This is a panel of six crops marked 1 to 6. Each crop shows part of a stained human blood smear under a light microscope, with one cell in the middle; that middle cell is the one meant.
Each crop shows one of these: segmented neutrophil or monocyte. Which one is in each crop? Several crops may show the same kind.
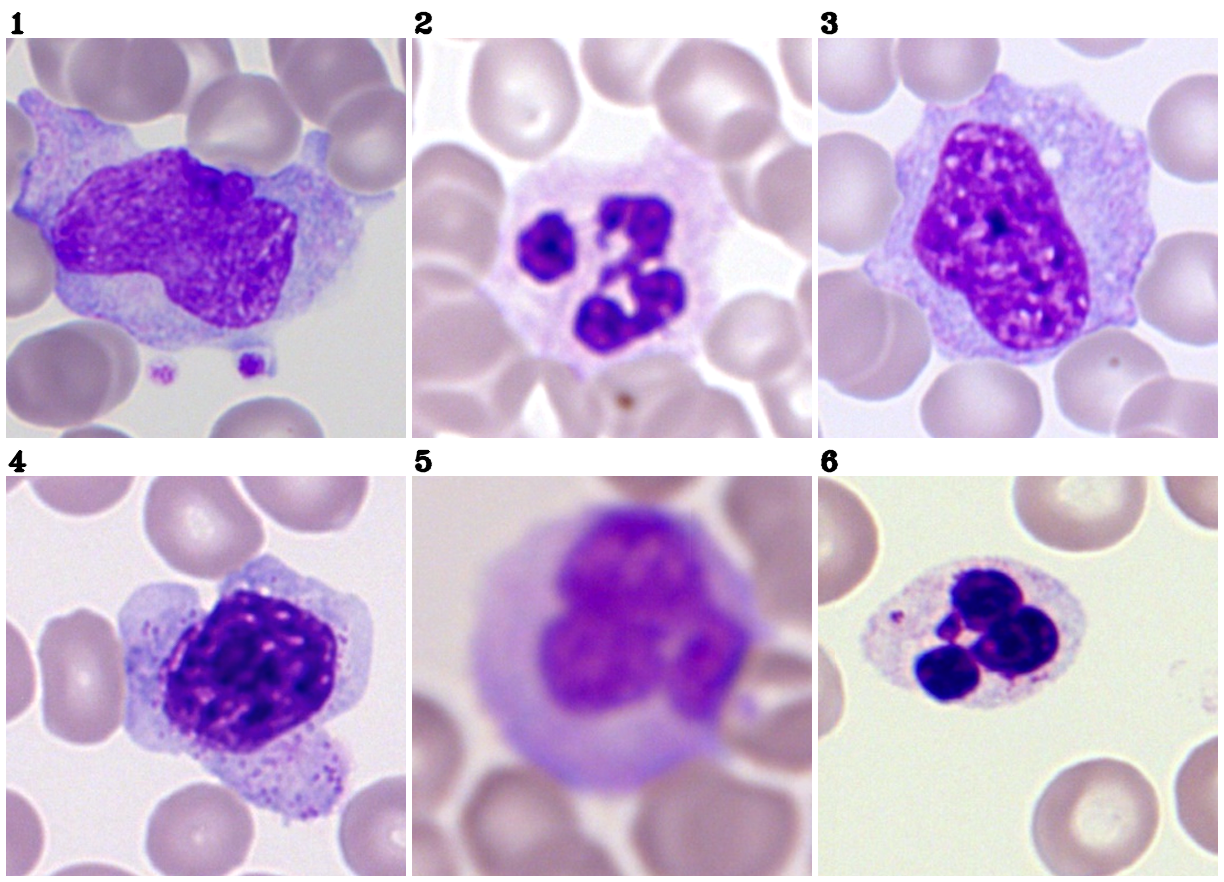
1: monocyte
2: segmented neutrophil
3: monocyte
4: monocyte
5: monocyte
6: segmented neutrophil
